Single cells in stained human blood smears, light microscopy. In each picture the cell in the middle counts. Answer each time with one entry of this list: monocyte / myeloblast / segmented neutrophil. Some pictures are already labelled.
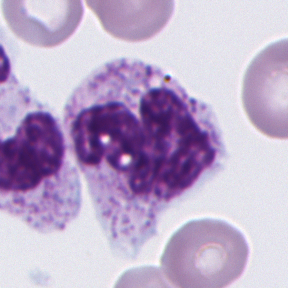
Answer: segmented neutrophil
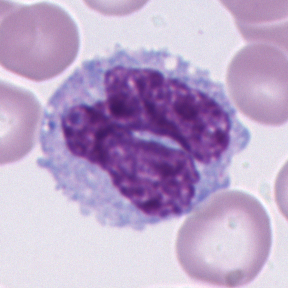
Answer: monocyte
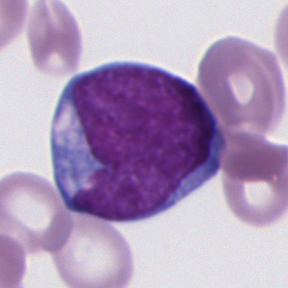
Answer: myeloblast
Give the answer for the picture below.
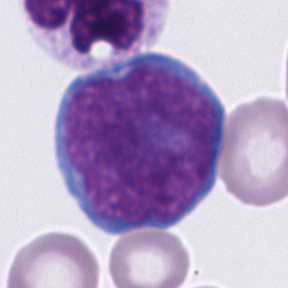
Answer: myeloblast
